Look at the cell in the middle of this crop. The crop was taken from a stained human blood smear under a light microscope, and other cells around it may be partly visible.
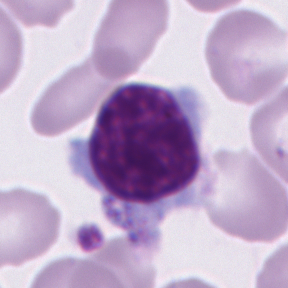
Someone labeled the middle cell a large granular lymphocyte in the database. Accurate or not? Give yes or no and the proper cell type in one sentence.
No, the centred cell is a typical lymphocyte instead of a large granular lymphocyte.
